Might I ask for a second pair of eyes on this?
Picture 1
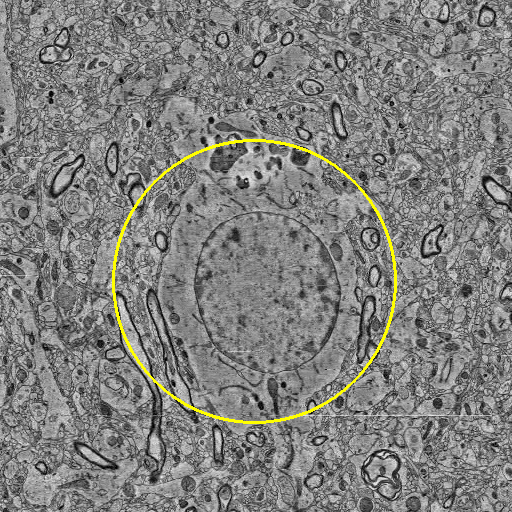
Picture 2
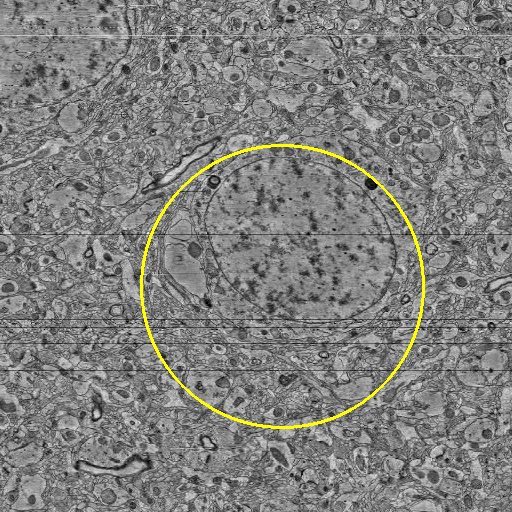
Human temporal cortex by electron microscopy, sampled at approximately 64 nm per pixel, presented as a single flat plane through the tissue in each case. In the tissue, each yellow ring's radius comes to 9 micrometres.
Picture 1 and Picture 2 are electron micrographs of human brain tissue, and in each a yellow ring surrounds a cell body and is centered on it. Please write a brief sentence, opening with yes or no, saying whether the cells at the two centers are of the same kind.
No, the cells are of two kinds.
